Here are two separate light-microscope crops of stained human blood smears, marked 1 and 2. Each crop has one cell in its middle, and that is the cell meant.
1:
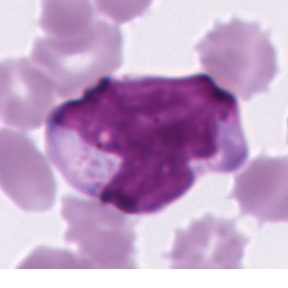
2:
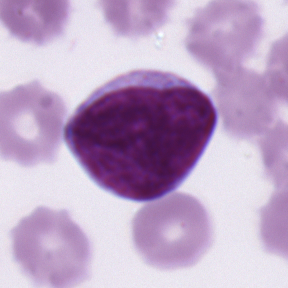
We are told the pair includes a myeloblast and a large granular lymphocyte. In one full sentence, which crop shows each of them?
Crop 1 presents a large granular lymphocyte, and crop 2 presents a myeloblast.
